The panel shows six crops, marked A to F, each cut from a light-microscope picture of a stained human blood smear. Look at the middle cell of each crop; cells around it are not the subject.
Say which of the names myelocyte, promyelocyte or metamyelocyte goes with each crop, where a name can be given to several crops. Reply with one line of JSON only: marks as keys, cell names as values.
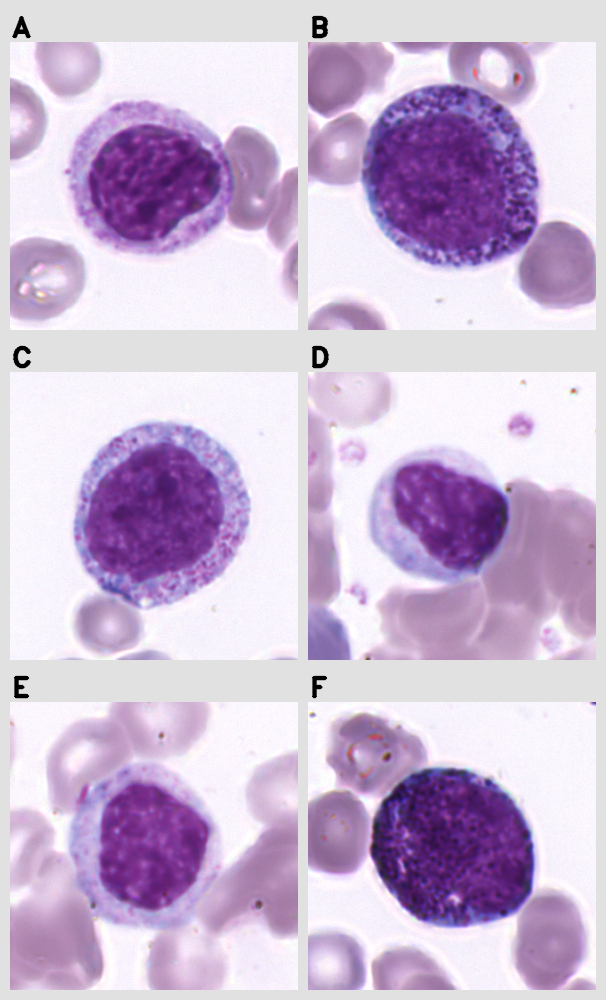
{"A": "myelocyte", "B": "promyelocyte", "C": "promyelocyte", "D": "metamyelocyte", "E": "myelocyte", "F": "promyelocyte"}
